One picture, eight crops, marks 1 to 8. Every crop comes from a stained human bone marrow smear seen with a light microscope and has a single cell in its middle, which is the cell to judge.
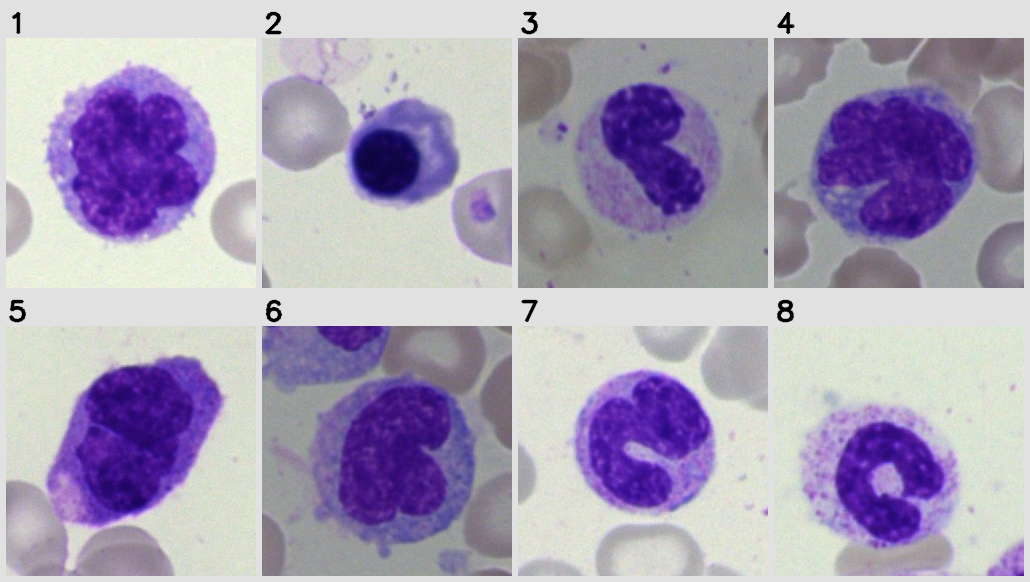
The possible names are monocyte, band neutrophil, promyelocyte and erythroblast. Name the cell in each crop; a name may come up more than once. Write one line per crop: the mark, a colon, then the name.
1: monocyte
2: erythroblast
3: band neutrophil
4: monocyte
5: monocyte
6: monocyte
7: band neutrophil
8: band neutrophil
